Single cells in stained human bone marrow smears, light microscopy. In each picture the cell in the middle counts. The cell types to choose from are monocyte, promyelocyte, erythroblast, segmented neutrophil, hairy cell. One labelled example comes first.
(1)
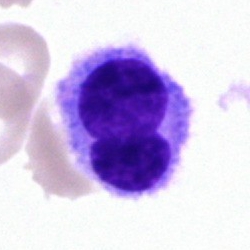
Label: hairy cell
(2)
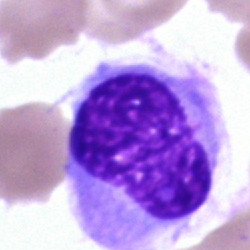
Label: hairy cell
